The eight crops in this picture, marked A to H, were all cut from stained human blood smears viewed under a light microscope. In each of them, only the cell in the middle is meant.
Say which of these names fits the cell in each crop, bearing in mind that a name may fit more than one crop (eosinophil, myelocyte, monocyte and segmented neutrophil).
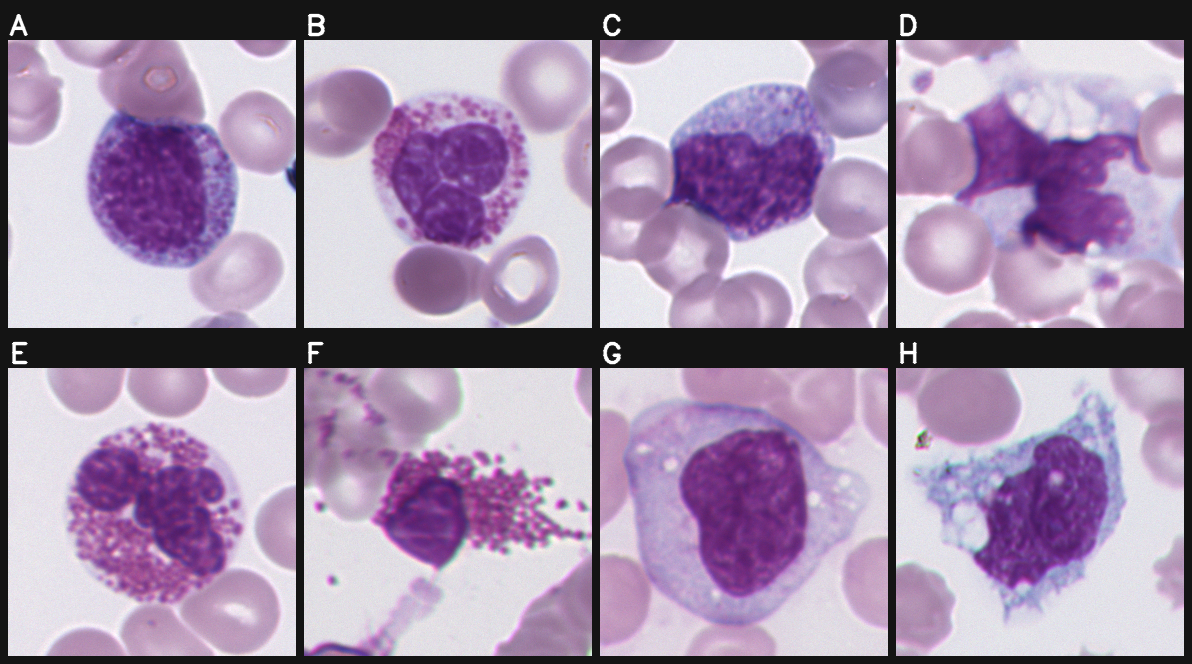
A: myelocyte
B: eosinophil
C: myelocyte
D: monocyte
E: eosinophil
F: eosinophil
G: monocyte
H: monocyte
